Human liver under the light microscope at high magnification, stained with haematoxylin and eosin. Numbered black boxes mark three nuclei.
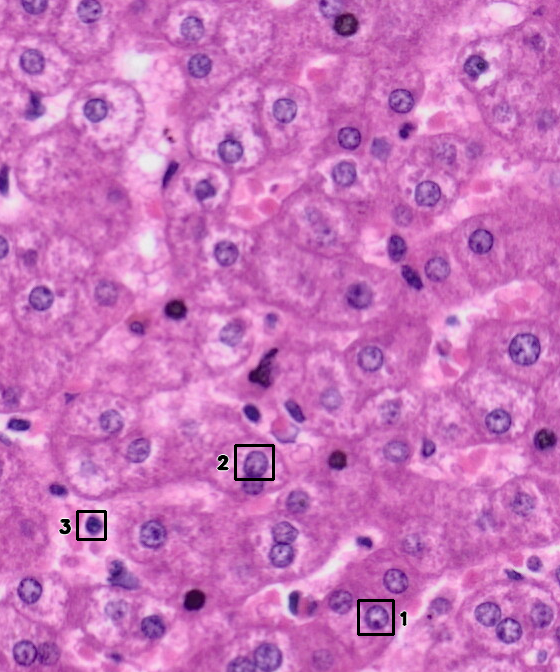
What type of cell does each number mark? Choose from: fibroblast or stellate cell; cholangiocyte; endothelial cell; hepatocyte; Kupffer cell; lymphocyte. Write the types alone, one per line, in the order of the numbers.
hepatocyte
hepatocyte
lymphocyte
